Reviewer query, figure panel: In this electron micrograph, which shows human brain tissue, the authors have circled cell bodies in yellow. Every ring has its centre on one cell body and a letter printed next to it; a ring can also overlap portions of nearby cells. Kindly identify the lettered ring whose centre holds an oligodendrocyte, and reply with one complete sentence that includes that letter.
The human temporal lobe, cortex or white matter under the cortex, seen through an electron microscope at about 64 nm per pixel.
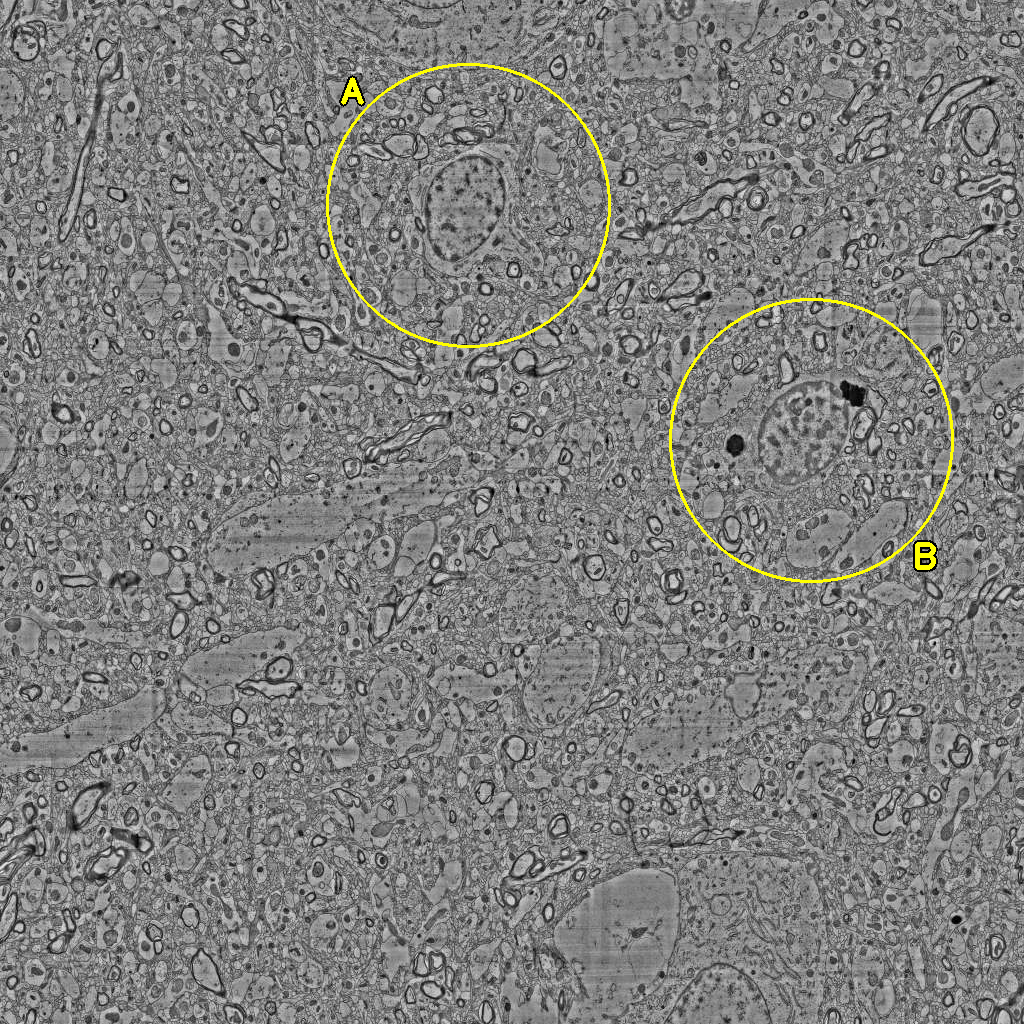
In this figure panel, the ring labelled B has the cell asked for at its centre.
